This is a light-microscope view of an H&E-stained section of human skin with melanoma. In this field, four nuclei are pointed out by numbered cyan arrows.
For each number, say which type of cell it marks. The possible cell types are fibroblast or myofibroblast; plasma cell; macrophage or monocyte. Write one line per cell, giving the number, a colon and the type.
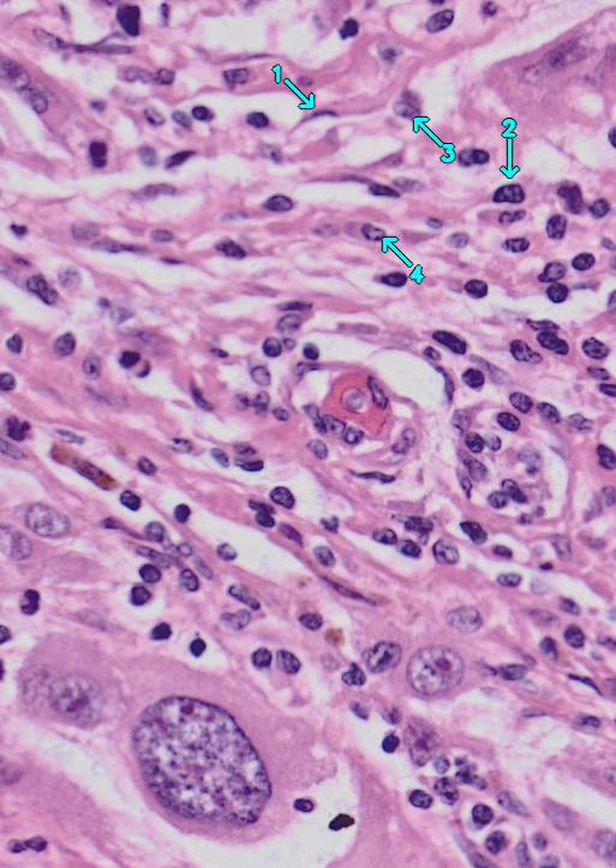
1: fibroblast or myofibroblast
2: plasma cell
3: macrophage or monocyte
4: plasma cell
